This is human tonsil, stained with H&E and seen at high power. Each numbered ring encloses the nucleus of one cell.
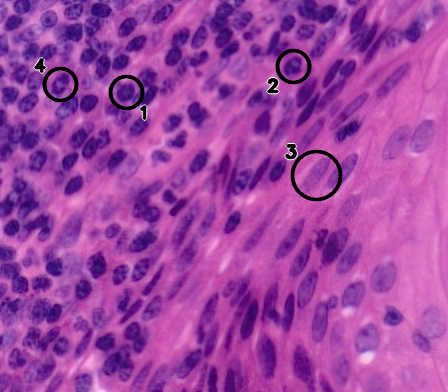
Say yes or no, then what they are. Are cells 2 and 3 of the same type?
No, cell 2 is a plasma cell, but cell 3 is a squamous epithelial cell.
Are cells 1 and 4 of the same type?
Yes, the cell labelled 1 and the cell labelled 4 are both plasma cells.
